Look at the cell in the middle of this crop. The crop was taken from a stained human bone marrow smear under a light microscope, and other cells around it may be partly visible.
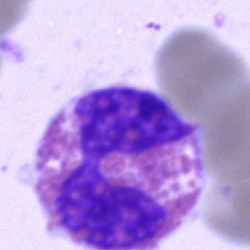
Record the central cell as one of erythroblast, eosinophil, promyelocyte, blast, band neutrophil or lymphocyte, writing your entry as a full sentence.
This crop is built around an eosinophil at its centre.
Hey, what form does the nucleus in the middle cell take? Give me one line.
Its nucleus is lobed, with at least two separate segments.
